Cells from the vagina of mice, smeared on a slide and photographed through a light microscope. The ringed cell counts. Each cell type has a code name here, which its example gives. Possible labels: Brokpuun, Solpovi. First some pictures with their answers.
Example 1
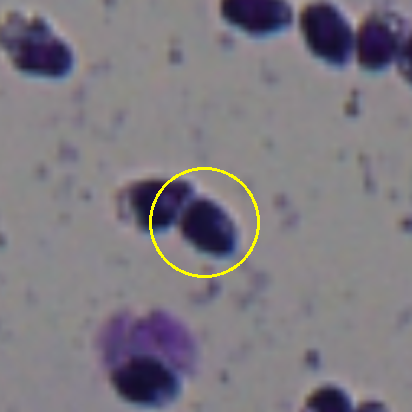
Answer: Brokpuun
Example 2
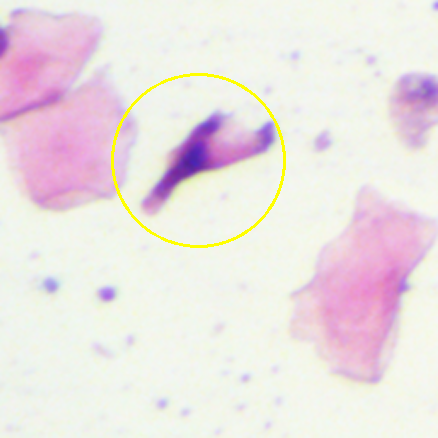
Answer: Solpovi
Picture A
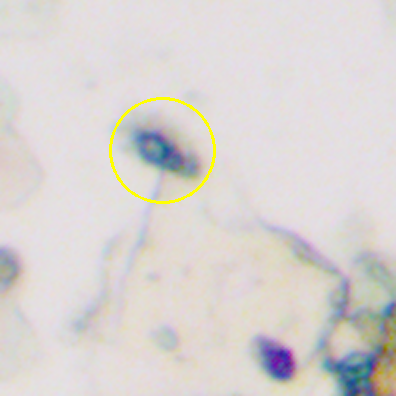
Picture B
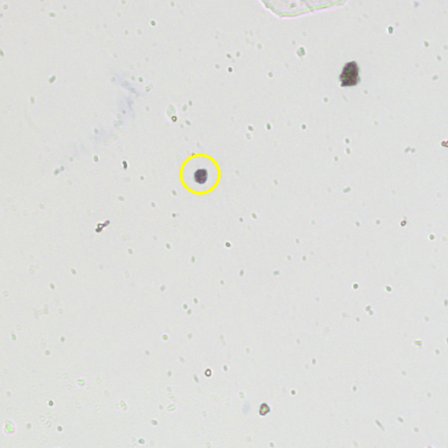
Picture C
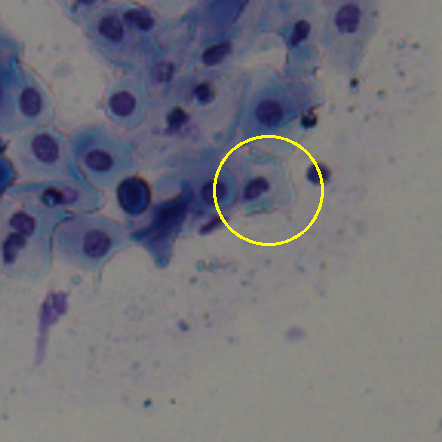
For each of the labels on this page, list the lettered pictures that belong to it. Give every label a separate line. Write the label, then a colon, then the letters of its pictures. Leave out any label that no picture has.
Brokpuun: A, B
Solpovi: C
